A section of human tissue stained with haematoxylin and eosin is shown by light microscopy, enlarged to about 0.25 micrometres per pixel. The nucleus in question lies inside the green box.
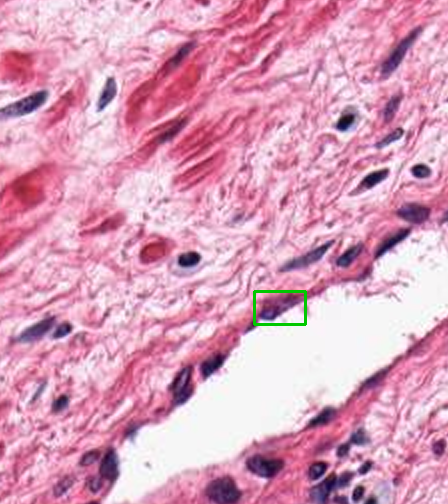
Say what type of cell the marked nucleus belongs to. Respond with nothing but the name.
endothelial cell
